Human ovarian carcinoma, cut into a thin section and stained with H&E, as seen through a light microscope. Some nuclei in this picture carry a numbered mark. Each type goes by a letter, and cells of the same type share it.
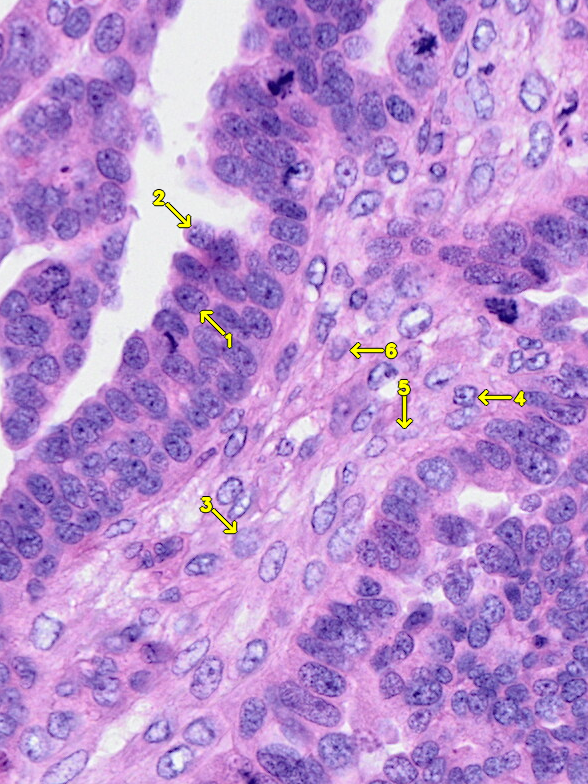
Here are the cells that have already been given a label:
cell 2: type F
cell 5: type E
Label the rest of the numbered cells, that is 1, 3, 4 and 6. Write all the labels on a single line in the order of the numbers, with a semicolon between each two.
type F; type E; type E; type E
